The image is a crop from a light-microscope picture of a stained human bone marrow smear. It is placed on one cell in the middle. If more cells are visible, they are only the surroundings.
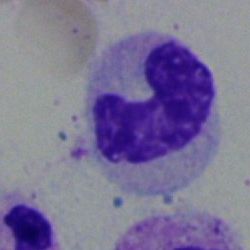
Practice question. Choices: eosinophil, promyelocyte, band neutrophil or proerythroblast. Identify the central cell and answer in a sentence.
Of the cells in this crop, the central one is a band neutrophil.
